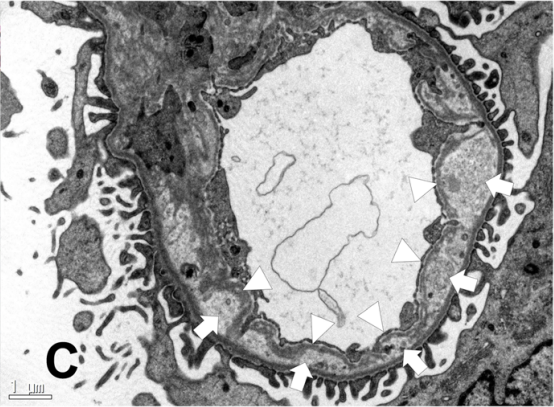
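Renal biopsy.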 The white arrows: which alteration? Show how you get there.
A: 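Subendothelial edema. A wide electron-lucent, finely granular zone lies beneath the endothelium. It separates the inner thin membrane from the outer basement membrane.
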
